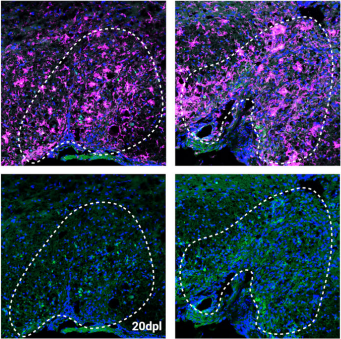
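Four fluorescence images of a lesion show myeloid cells within an area outlined by a white dashed line. In the upper images, magenta cells with irregular, branched or rounded shapes are spread through the tissue among blue nuclei. In the lower images, showing green and blue only, a fine green signal covers the outlined area over densely packed blue nuclei. The right-hand images show larger, more crowded magenta cells and a more extensive green signal than the left-hand ones.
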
